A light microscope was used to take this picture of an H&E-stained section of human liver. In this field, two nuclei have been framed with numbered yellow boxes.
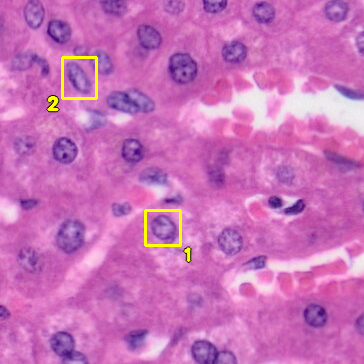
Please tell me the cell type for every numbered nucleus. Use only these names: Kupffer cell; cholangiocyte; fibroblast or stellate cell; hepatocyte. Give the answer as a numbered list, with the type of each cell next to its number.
1. hepatocyte
2. cholangiocyte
